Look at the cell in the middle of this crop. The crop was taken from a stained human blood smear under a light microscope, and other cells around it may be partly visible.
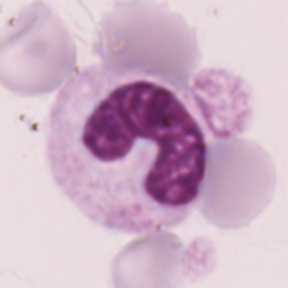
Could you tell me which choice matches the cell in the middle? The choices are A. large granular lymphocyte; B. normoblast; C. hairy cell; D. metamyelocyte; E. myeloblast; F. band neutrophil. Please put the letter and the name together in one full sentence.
The cell centred in the crop is a band neutrophil, and the correct option is thus F.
